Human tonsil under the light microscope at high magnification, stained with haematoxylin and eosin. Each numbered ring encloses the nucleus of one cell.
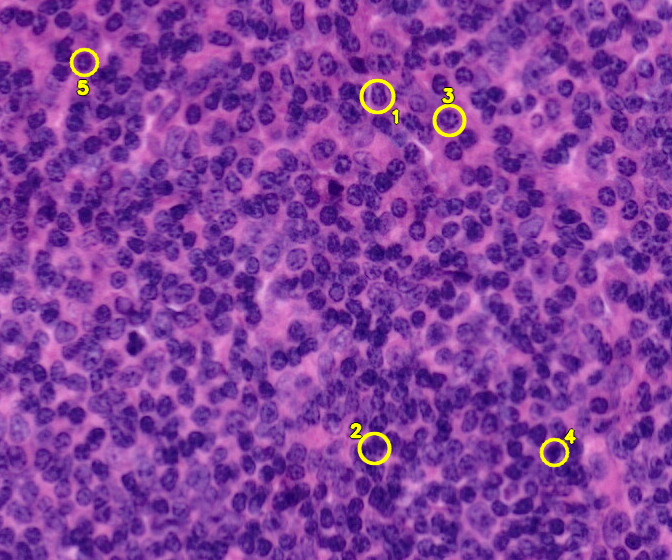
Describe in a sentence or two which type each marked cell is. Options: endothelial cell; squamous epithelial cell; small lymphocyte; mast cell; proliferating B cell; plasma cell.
Cell 1 is a plasma cell, cell 2 is a small lymphocyte, cell 3 is a plasma cell, cell 4 is a small lymphocyte and cell 5 is a plasma cell.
